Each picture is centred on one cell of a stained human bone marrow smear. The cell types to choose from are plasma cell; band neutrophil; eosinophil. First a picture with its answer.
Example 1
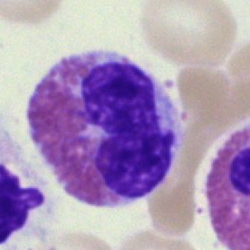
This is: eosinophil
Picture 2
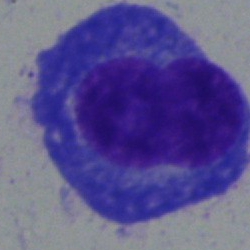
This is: plasma cell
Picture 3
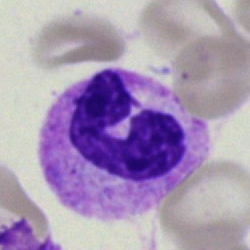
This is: band neutrophil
